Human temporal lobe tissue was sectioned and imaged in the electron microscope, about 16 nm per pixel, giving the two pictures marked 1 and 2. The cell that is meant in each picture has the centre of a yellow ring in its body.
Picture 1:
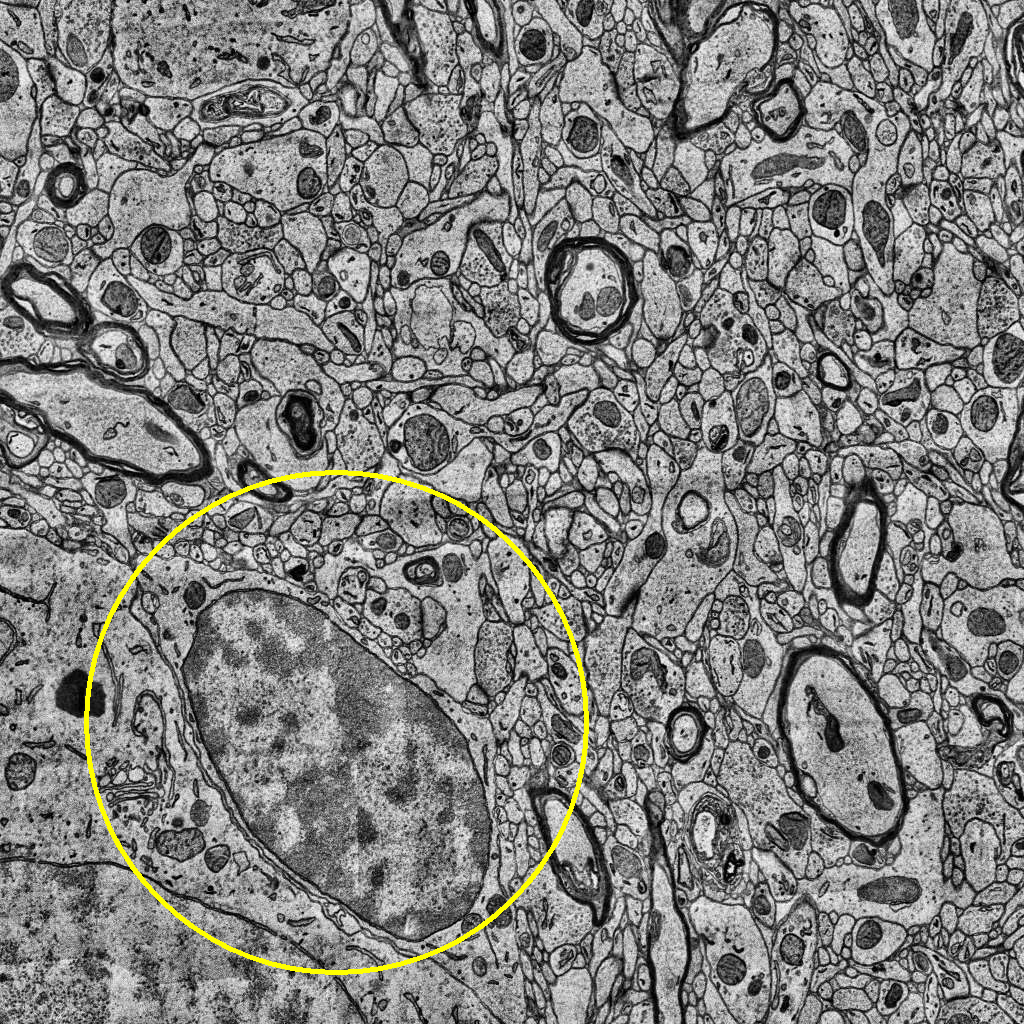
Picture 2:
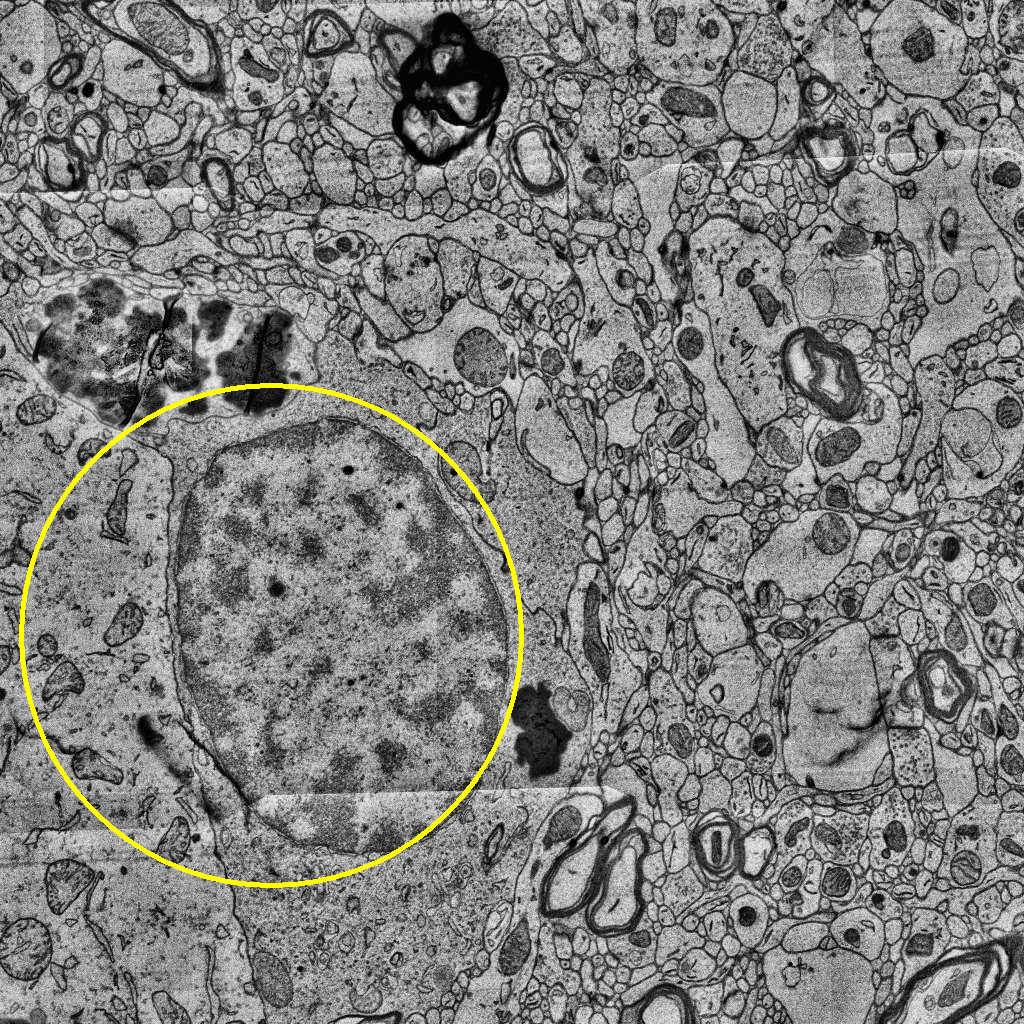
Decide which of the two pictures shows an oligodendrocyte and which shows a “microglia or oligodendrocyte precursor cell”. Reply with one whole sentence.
The cell in picture 1 is a “microglia or oligodendrocyte precursor cell”, and the one in picture 2 is an oligodendrocyte.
